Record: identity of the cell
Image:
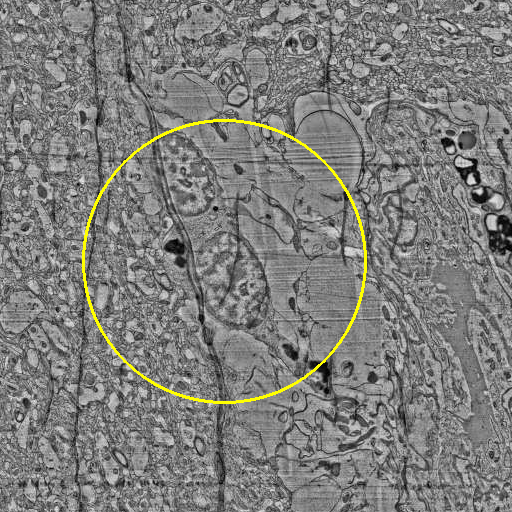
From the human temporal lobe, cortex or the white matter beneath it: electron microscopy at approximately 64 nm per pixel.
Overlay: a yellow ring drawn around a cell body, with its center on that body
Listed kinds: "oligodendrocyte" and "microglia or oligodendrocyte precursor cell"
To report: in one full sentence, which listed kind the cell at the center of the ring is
In the image, the cell body at the ring's center belongs to an oligodendrocyte.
